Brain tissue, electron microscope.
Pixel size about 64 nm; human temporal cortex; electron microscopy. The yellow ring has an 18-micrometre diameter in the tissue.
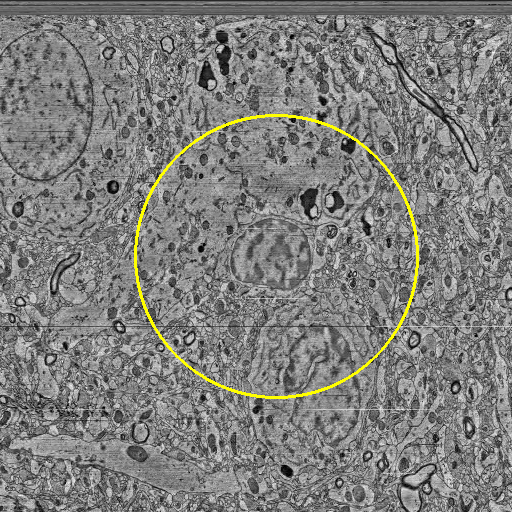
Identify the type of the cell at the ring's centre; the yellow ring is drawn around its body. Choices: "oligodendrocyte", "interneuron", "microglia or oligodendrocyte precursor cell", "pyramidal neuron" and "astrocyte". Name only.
microglia or oligodendrocyte precursor cell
